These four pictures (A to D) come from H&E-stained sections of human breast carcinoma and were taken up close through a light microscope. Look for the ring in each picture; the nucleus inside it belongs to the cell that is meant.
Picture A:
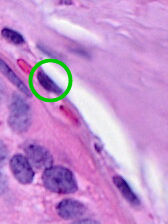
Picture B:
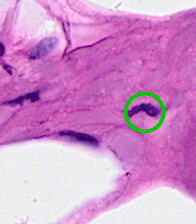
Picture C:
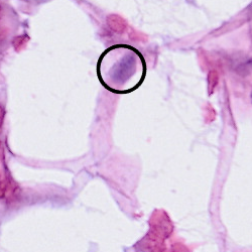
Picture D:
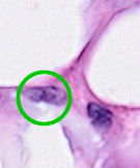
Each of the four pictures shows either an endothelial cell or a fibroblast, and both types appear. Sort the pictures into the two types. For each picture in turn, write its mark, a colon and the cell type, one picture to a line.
A: endothelial cell
B: fibroblast
C: endothelial cell
D: fibroblast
